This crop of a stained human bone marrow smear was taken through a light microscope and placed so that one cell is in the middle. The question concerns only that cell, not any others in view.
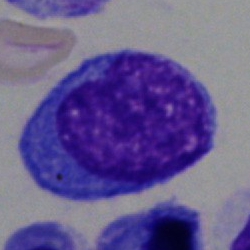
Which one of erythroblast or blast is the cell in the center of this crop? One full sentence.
What sits at the centre of this crop is a blast.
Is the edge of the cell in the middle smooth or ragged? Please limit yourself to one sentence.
You can see a smooth boundary, with no projections sticking out.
